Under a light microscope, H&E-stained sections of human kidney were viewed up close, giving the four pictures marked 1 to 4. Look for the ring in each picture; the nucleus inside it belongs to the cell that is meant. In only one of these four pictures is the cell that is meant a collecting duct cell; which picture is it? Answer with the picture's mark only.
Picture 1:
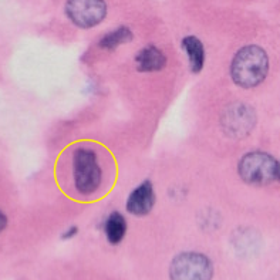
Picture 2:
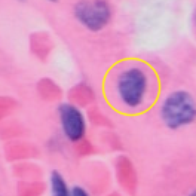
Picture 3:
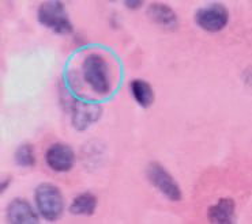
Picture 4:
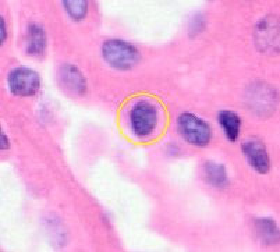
3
